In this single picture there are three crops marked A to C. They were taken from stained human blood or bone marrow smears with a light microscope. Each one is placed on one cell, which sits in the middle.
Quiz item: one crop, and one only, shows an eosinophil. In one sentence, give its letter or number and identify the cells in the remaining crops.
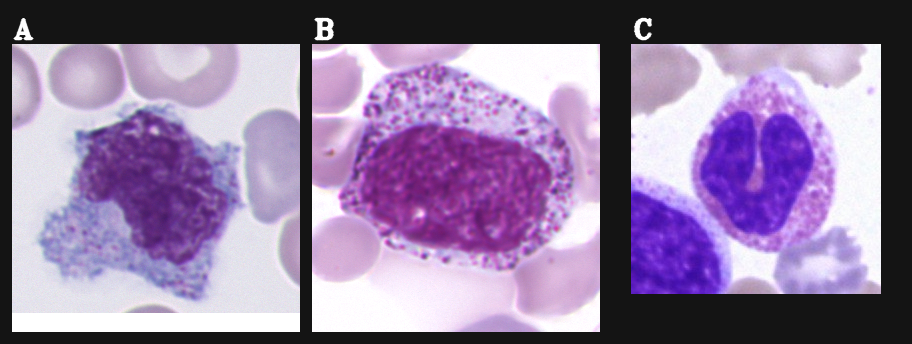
Crop C holds an eosinophil at its centre, while crop A is a promyelocyte and crop B is a myelocyte.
